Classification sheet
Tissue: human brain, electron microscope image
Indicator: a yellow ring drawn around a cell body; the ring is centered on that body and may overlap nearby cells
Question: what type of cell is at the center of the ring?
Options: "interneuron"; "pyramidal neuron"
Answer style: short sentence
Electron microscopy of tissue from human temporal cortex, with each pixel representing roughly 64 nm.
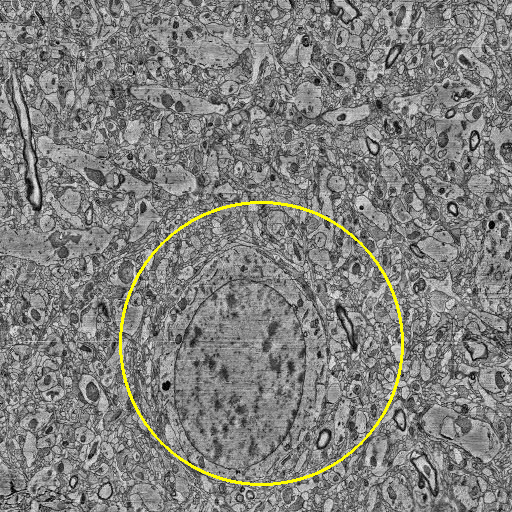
At the ring's center is a pyramidal neuron.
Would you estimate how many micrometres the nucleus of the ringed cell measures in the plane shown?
At approximately 13 by 8 micrometres, the nucleus is clearly longer than it is wide in this plane.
